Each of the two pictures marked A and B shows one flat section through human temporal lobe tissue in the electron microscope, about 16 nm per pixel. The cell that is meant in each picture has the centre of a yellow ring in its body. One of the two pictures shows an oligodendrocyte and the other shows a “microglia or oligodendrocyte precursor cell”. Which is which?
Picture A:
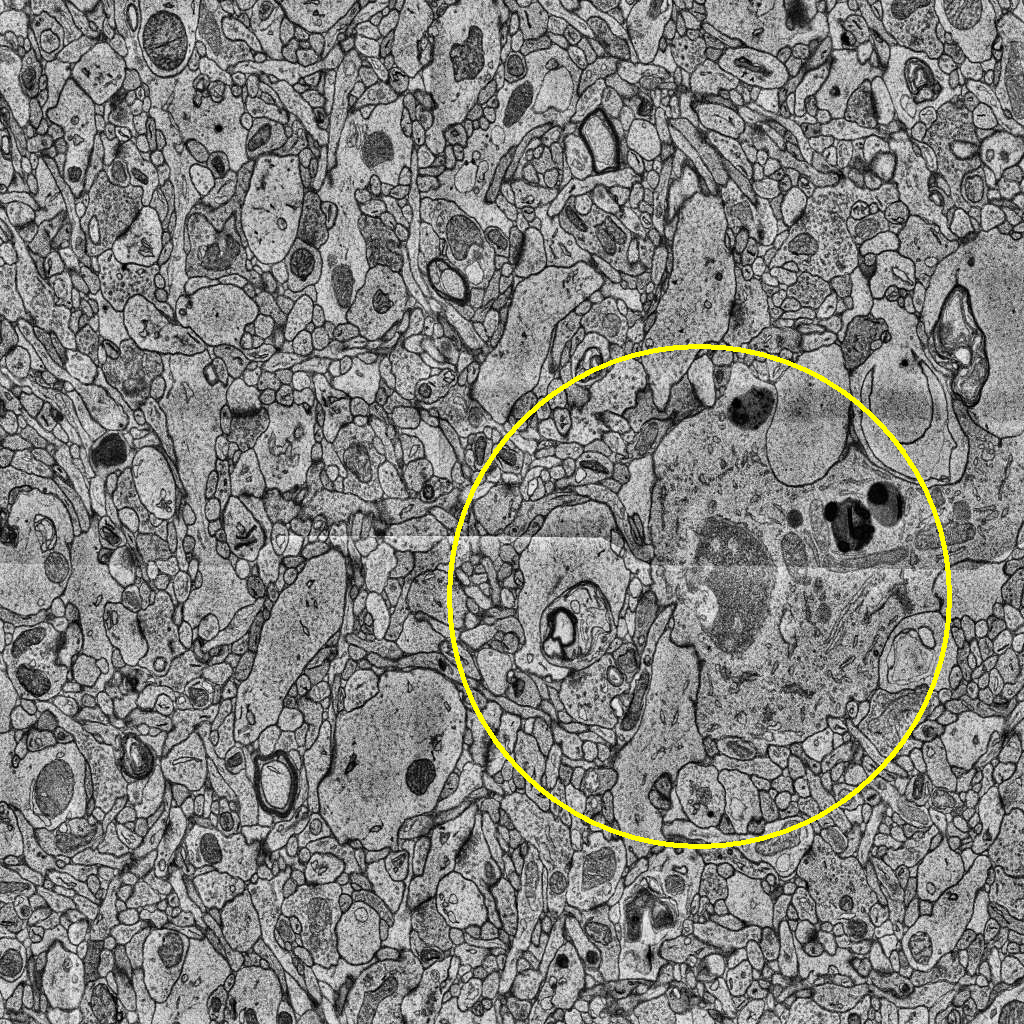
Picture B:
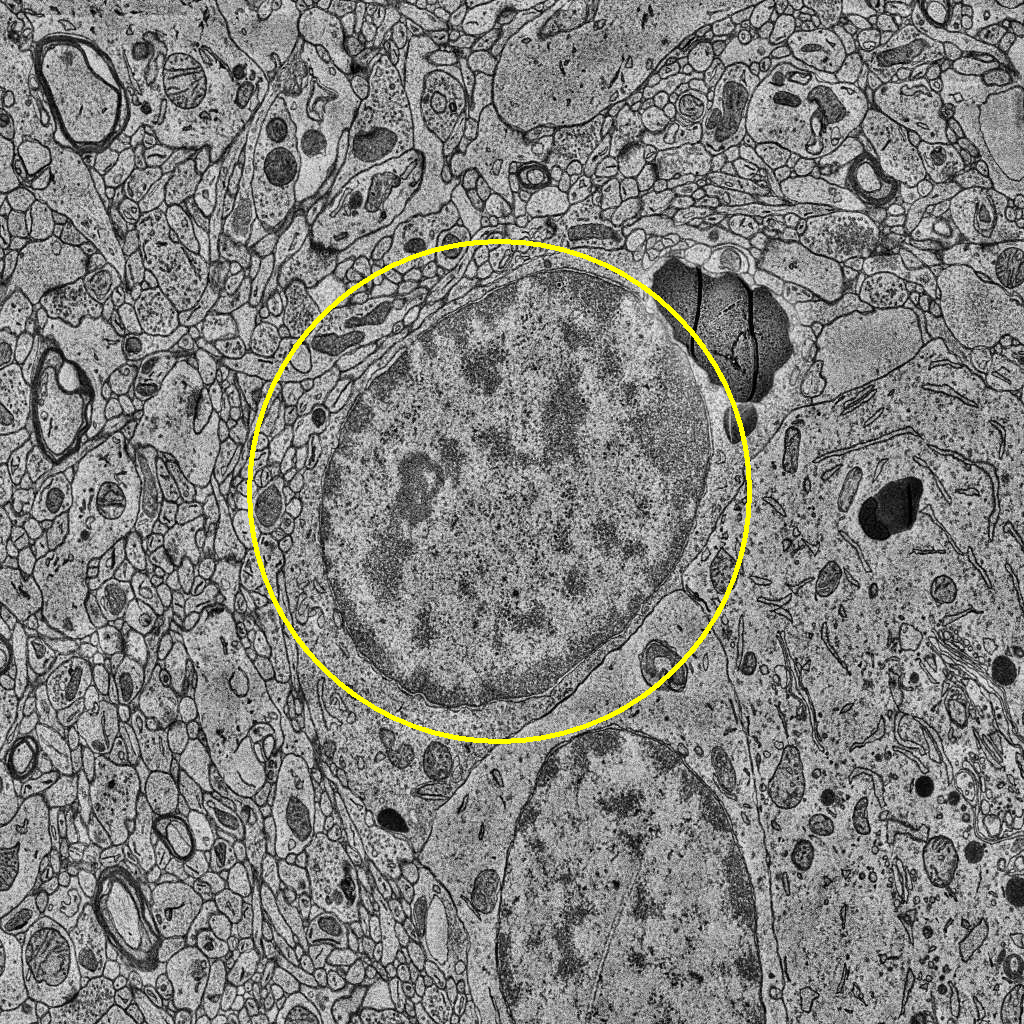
In picture A the cell is a “microglia or oligodendrocyte precursor cell”; in picture B, an oligodendrocyte.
